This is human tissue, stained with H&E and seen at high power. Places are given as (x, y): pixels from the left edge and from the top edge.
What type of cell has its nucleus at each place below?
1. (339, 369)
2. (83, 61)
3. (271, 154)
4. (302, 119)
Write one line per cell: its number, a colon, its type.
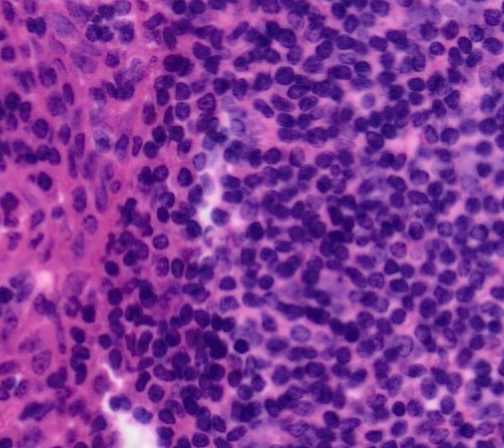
1: small lymphocyte
2: squamous epithelial cell
3: small lymphocyte
4: small lymphocyte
